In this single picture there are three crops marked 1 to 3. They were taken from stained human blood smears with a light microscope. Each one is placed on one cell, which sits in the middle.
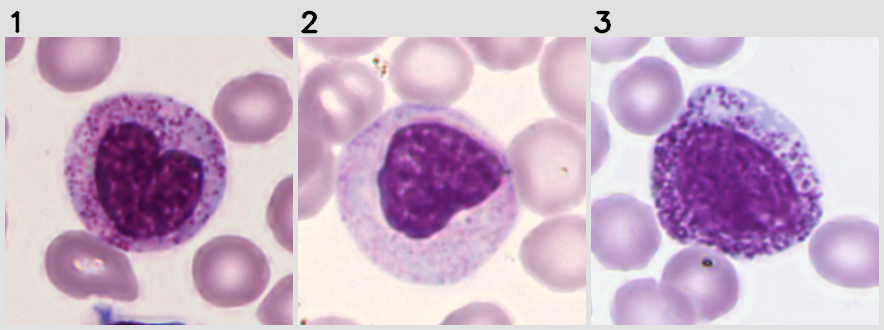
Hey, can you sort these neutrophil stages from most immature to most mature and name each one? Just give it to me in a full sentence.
From earliest stage to latest stage, the sequence is crop 3 (a myelocyte), crop 2 (a metamyelocyte) and crop 1 (a band neutrophil).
